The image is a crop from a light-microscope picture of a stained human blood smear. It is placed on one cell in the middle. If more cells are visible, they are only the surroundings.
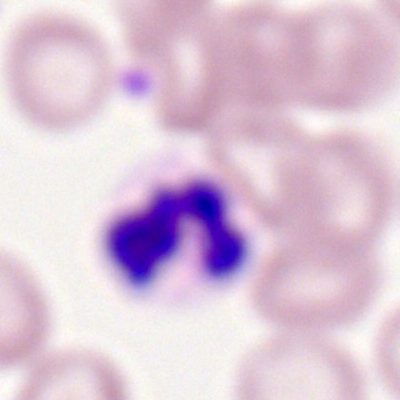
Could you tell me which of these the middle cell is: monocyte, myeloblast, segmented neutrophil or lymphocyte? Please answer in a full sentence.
Present in the middle of the crop is a segmented neutrophil.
